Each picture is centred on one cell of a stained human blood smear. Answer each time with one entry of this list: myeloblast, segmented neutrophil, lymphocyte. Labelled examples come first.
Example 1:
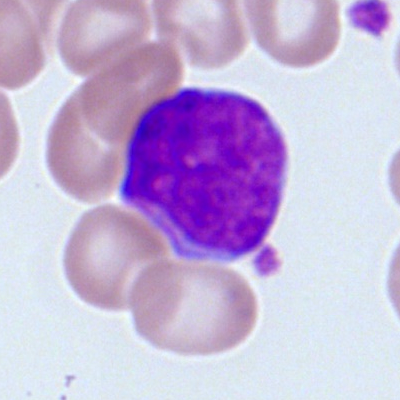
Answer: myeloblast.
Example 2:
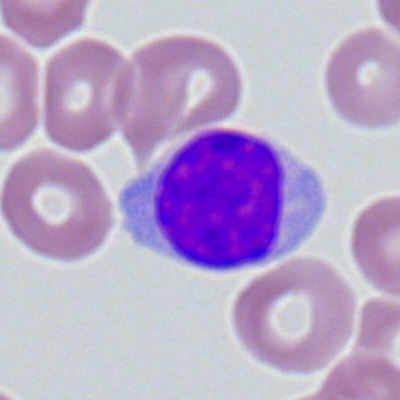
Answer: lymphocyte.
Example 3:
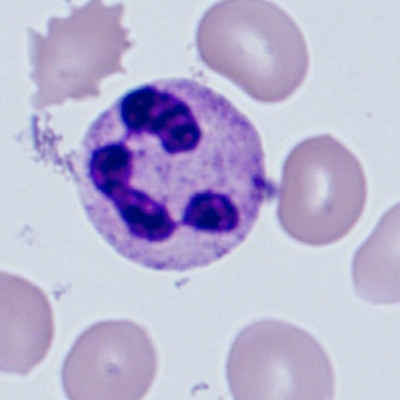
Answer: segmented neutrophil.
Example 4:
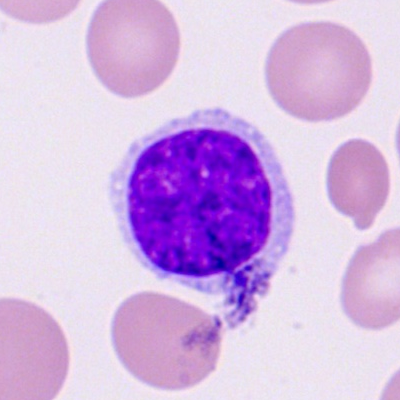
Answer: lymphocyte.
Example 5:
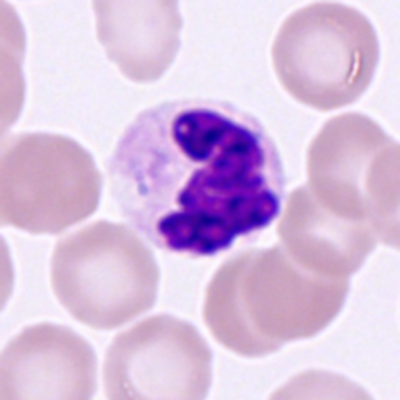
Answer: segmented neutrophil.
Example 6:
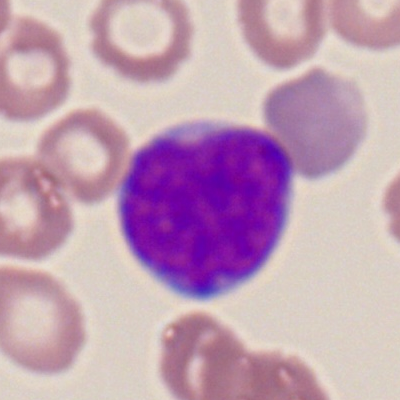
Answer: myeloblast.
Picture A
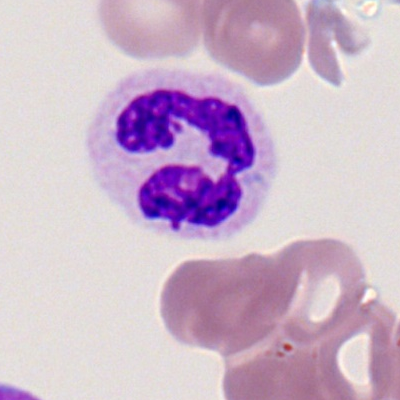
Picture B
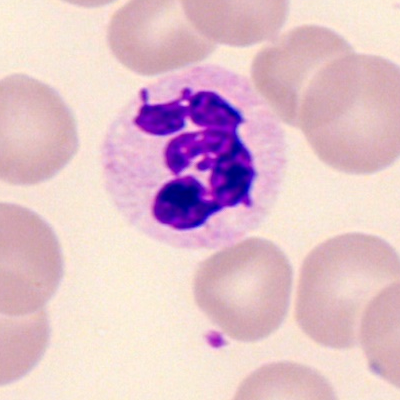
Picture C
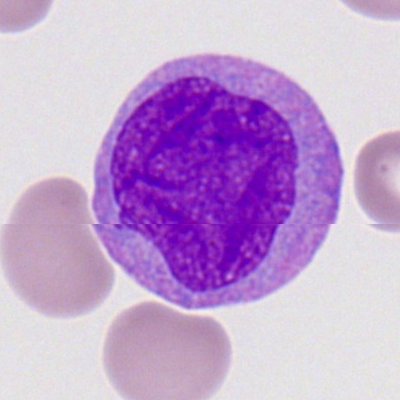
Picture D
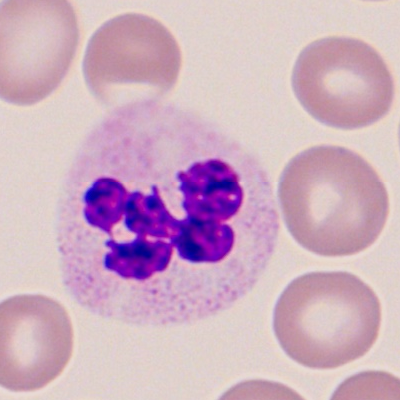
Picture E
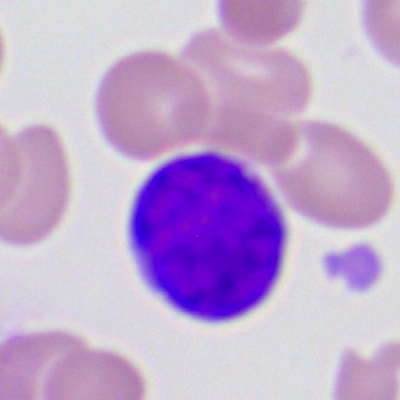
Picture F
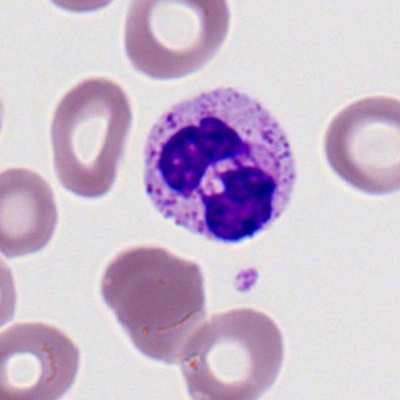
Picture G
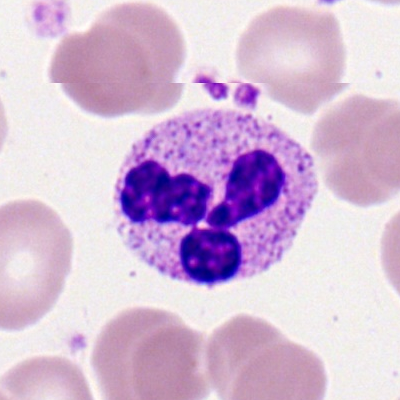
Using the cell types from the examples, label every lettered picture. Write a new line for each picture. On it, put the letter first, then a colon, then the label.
A: segmented neutrophil.
B: segmented neutrophil.
C: myeloblast.
D: segmented neutrophil.
E: myeloblast.
F: segmented neutrophil.
G: segmented neutrophil.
